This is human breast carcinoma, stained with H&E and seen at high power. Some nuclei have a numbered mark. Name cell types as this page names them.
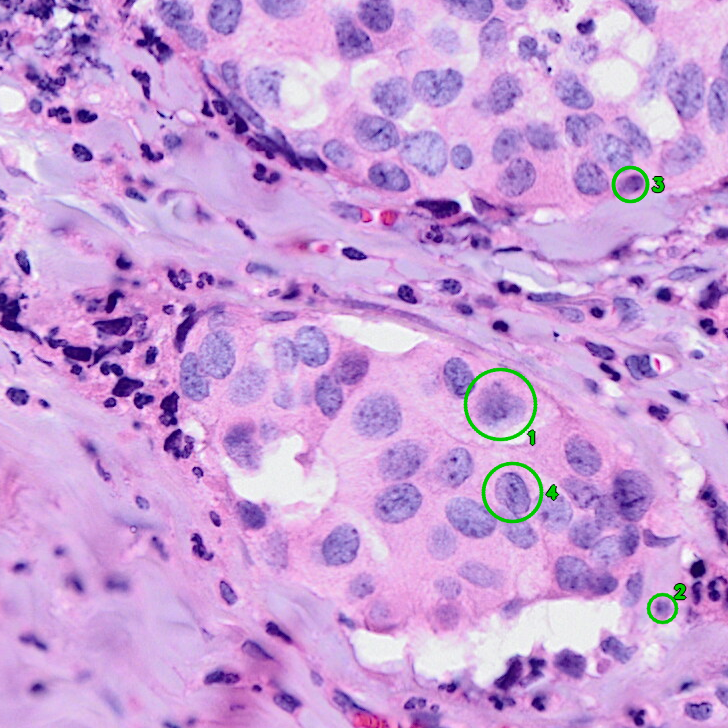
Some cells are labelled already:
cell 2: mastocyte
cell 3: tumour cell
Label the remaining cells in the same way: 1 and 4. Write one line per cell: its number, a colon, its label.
1: tumour cell
4: tumour cell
